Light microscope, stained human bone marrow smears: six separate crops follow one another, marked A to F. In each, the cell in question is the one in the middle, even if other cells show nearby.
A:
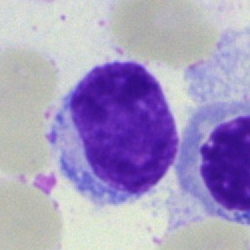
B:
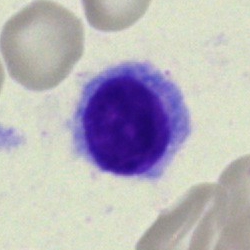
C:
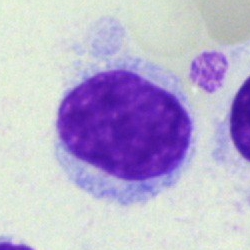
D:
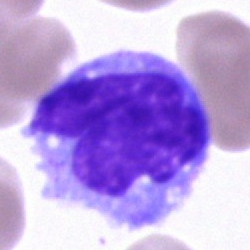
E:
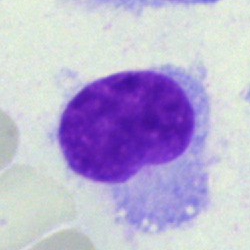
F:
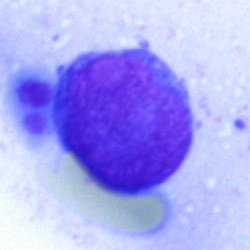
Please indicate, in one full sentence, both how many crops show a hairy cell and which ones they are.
The crops labelled A, B, C and E show hairy cells, four crops in total.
